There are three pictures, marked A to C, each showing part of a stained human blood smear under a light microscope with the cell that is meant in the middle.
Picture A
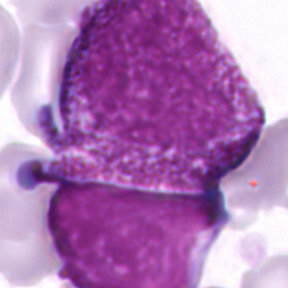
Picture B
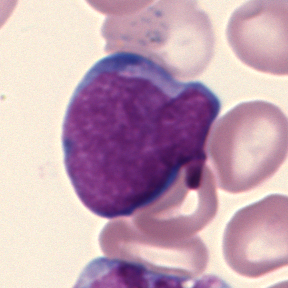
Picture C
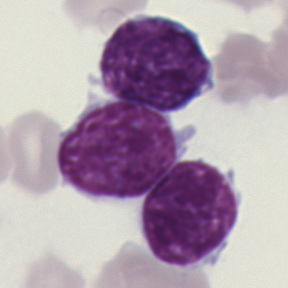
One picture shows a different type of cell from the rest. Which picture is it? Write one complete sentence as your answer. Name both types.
Unlike the rest, which show myeloblasts, picture A shows a promyelocyte.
